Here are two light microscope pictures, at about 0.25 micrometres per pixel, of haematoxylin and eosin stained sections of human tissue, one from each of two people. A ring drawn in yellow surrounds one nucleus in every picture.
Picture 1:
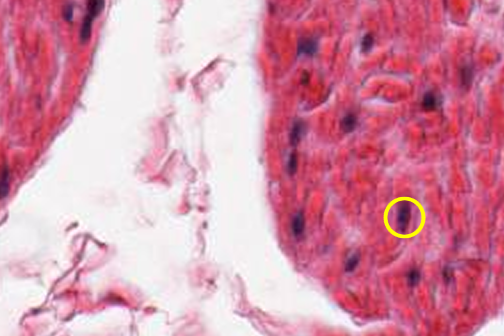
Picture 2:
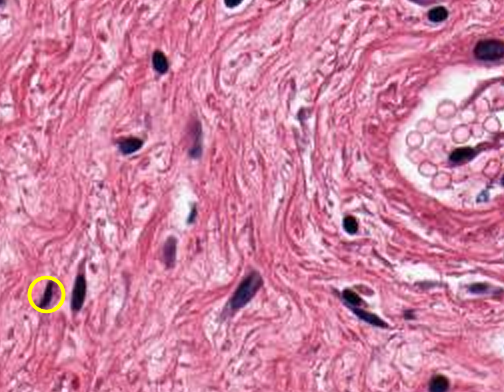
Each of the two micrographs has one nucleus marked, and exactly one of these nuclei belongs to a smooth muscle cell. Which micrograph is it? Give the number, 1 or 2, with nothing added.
1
